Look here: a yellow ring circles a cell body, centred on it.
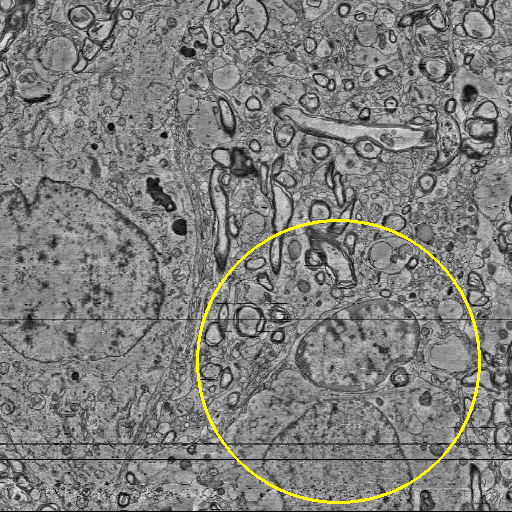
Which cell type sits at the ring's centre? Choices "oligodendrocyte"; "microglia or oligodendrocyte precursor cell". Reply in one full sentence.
The cell at the centre of the yellow ring in the picture is a microglial cell or oligodendrocyte precursor cell.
